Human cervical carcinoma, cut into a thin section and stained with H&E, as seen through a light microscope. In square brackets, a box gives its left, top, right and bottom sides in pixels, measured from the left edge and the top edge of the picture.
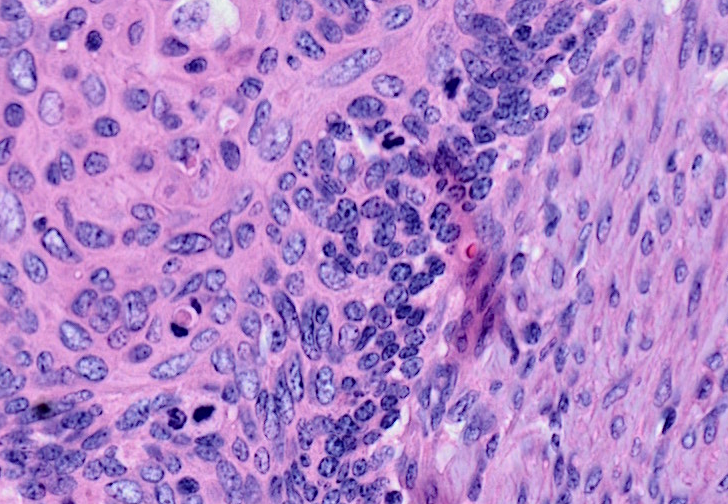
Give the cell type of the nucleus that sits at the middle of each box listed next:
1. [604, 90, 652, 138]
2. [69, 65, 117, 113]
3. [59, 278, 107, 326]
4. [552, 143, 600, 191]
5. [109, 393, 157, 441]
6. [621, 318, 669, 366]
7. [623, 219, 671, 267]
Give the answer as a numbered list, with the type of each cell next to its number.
1. smooth muscle cell
2. squamous carcinoma cell
3. squamous carcinoma cell
4. smooth muscle cell
5. squamous carcinoma cell
6. smooth muscle cell
7. smooth muscle cell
